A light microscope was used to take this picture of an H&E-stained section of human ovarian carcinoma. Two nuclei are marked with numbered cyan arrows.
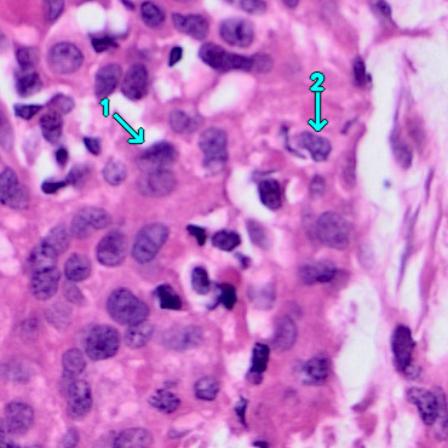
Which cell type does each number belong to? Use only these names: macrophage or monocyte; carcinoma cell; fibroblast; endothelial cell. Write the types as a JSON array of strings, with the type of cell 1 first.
["carcinoma cell", "macrophage or monocyte"]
